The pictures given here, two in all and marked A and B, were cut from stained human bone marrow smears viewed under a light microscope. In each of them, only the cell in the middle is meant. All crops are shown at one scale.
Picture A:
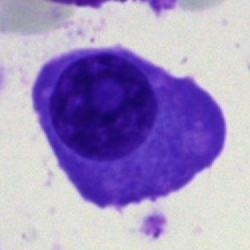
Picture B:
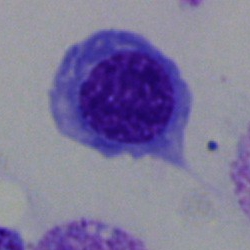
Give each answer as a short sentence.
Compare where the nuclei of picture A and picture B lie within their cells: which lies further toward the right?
The nucleus in picture B lies further toward the right of its cell.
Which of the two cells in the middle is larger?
Picture A holds the larger cell; it covers about 1.5 times the area of the cell in picture B.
